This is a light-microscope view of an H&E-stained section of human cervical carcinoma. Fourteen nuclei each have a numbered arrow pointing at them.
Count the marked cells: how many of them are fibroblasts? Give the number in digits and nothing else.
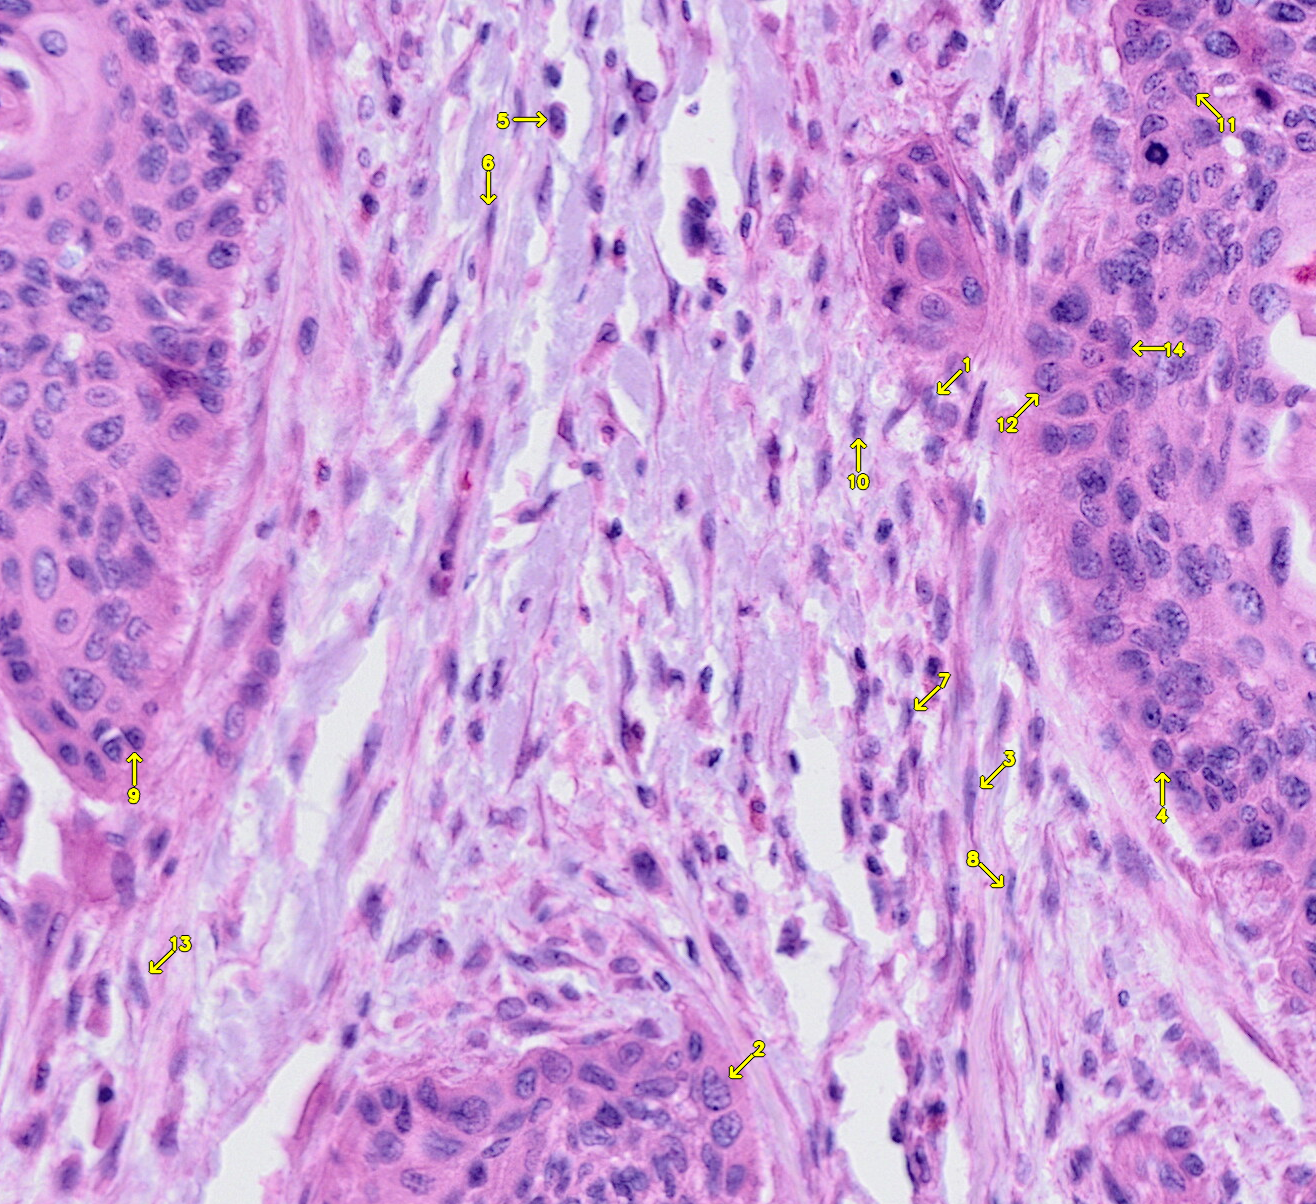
7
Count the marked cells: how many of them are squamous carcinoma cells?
6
